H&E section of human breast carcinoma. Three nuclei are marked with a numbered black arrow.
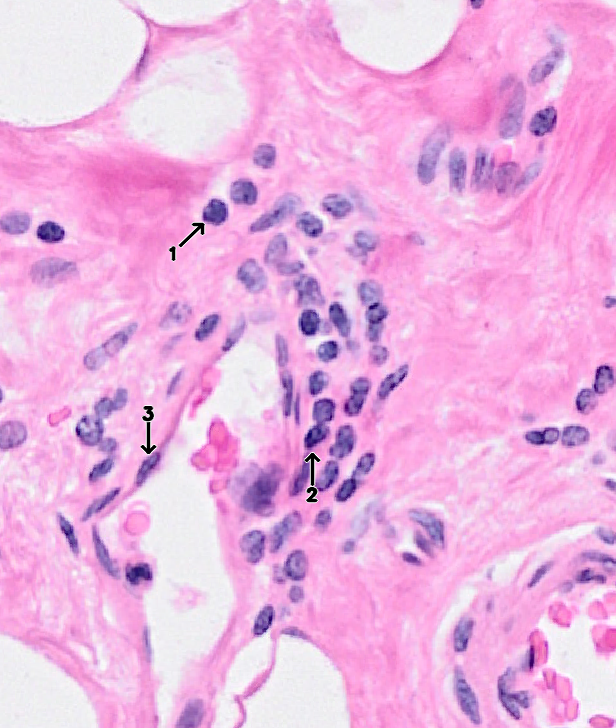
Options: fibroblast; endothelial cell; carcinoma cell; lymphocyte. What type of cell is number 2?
lymphocyte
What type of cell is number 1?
lymphocyte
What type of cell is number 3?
endothelial cell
